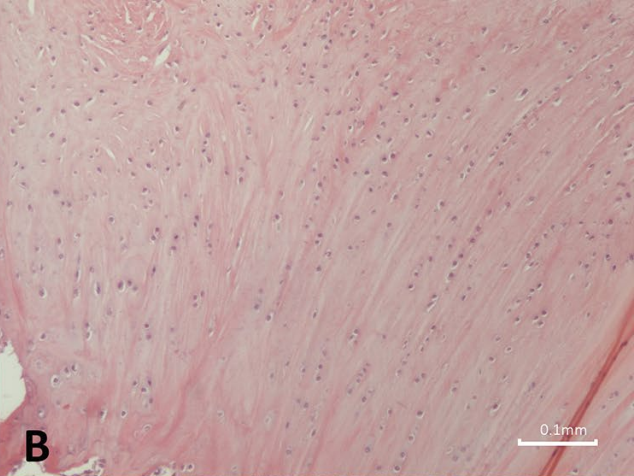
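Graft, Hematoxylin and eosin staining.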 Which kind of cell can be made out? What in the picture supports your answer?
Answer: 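Rounded cells sit singly in small clear spaces within a pale pink matrix. The cells are lined up in rows along the direction of the matrix.
Chondrocytes.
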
